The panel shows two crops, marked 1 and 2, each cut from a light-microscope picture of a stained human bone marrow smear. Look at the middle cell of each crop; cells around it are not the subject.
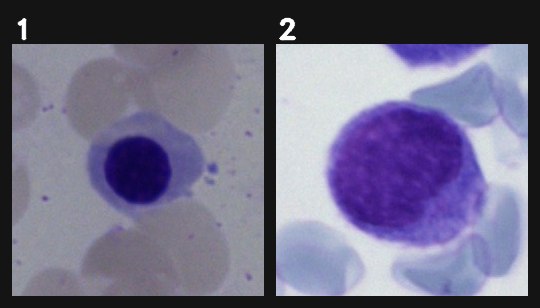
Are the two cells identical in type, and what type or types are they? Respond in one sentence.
No, crop 1 has an erythroblast at its center, and crop 2 has a blast.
